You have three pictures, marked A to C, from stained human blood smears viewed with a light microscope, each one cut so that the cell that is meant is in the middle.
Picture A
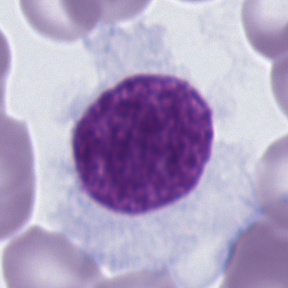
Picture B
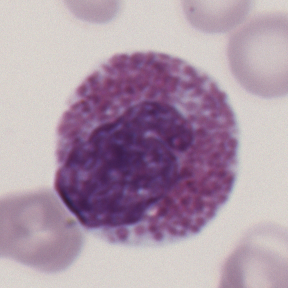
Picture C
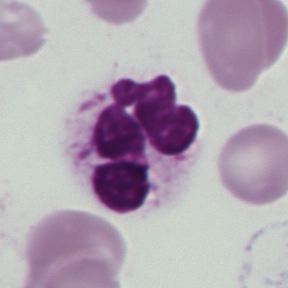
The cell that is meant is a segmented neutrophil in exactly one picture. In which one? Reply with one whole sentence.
The segmented neutrophil is the one in picture C.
